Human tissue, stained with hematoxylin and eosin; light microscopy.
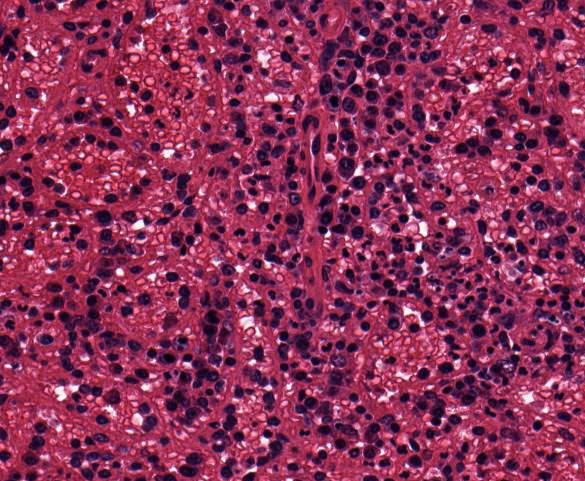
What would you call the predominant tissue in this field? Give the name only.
red pulp of the spleen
